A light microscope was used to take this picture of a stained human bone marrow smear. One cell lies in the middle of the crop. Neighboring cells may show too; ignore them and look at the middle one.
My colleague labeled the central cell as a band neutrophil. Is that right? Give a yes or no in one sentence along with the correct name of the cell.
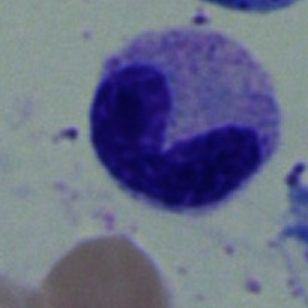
Yes, in this crop the cell in the middle is a band neutrophil.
